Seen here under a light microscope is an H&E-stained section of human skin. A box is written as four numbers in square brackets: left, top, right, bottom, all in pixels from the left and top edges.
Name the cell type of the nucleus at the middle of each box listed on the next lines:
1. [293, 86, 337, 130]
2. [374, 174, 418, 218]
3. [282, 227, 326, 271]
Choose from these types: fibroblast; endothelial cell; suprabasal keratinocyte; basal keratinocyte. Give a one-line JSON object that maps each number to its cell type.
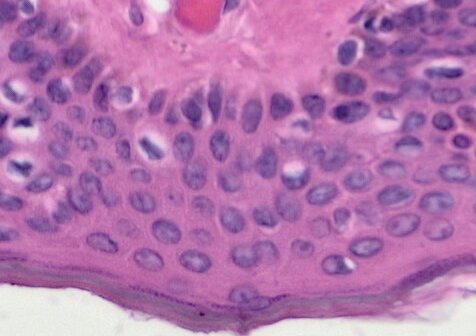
{"1": "basal keratinocyte", "2": "suprabasal keratinocyte", "3": "suprabasal keratinocyte"}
